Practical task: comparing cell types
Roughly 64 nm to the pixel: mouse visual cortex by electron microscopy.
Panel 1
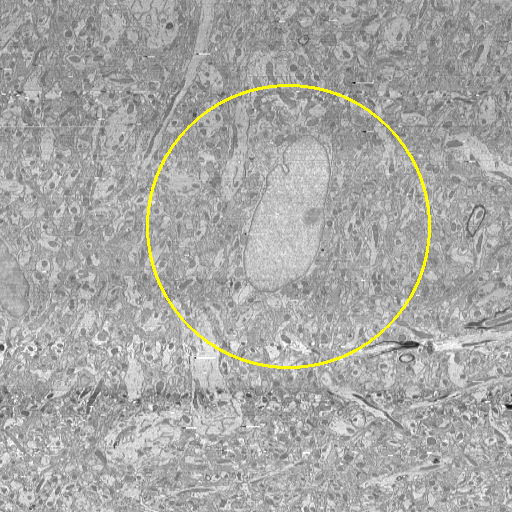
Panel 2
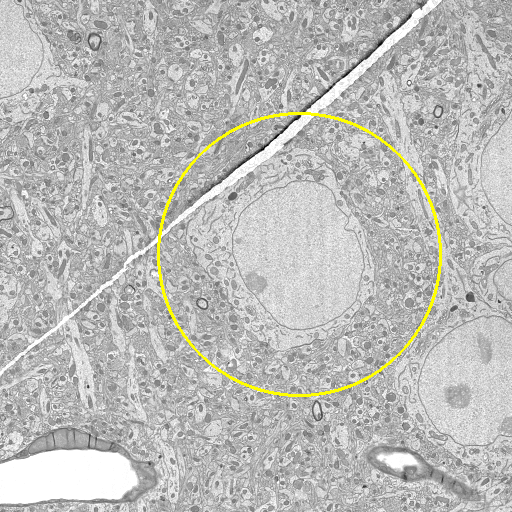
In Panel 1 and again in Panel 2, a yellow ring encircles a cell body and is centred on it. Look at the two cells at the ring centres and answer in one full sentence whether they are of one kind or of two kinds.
The two cells sitting at the ring centres of Panels 1 and 2 are of two kinds.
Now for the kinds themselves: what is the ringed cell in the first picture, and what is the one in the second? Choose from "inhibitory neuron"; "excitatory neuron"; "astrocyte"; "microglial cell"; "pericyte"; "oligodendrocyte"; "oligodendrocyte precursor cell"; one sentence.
Here the first cell is an astrocyte and the second cell is an excitatory neuron.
